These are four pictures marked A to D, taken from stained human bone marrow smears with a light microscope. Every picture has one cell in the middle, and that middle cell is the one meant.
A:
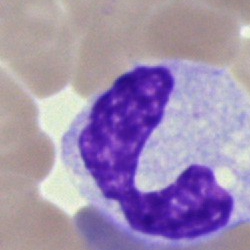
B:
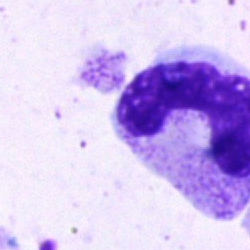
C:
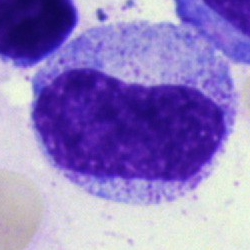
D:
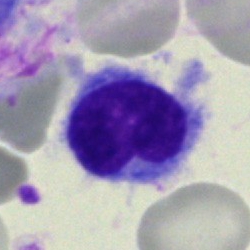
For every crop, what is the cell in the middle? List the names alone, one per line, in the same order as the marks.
segmented neutrophil
band neutrophil
metamyelocyte
hairy cell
